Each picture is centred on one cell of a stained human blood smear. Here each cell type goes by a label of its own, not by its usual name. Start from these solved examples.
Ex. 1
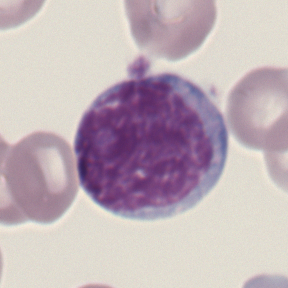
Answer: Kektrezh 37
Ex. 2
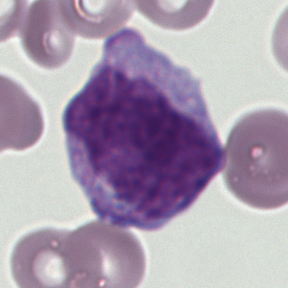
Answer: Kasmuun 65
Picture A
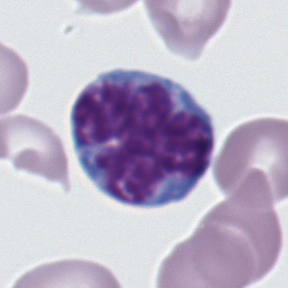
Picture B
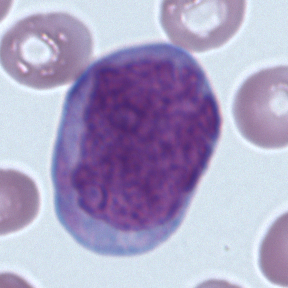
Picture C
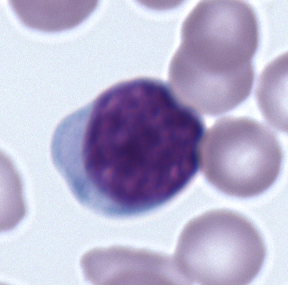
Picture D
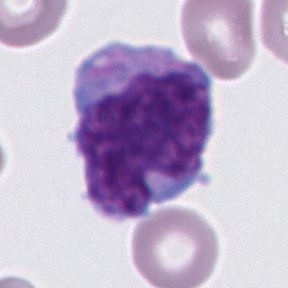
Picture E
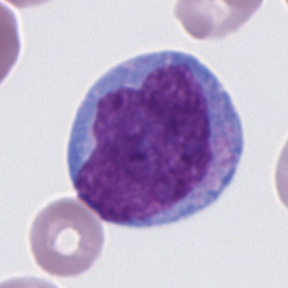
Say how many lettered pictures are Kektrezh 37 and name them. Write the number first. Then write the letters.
2, namely A, C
